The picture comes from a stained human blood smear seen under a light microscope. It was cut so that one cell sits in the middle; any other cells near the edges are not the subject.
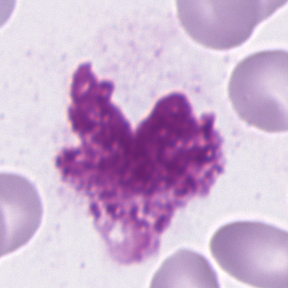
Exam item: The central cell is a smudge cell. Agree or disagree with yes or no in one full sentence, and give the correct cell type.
Yes, the cell found in the center of the crop is a smudge cell.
